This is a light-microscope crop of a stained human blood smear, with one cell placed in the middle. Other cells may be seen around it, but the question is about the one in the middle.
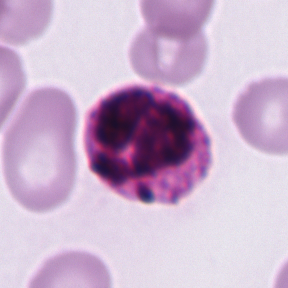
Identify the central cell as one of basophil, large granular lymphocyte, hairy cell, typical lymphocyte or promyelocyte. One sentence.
In the centre of this crop there is a basophil.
